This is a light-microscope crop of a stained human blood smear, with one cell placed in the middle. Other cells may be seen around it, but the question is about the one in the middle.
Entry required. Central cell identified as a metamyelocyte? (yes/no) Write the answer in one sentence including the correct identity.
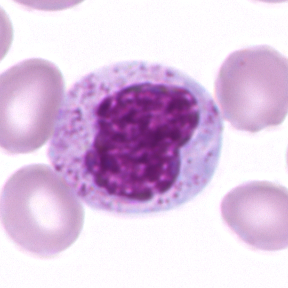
Yes, the cell under consideration, the one in the middle, is a metamyelocyte.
